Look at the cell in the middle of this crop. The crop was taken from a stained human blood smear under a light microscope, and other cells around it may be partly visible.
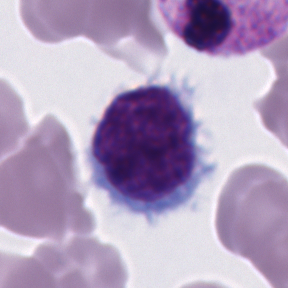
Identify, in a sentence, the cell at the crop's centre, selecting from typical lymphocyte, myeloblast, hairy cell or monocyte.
The cell nearest the centre of this crop is a hairy cell.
